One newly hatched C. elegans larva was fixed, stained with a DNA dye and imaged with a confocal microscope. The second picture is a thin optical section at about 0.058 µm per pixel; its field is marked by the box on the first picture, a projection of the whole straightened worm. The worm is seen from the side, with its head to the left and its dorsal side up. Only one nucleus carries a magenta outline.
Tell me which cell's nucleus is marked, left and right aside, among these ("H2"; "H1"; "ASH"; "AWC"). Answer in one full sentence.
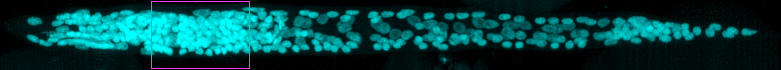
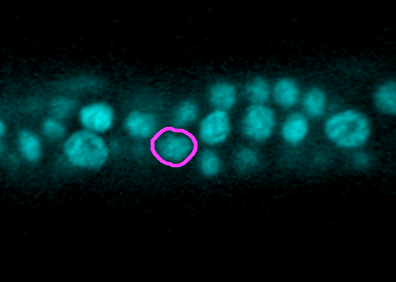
This is the nucleus of AWC, a neuron.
